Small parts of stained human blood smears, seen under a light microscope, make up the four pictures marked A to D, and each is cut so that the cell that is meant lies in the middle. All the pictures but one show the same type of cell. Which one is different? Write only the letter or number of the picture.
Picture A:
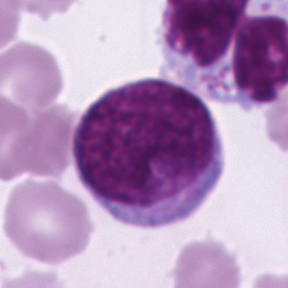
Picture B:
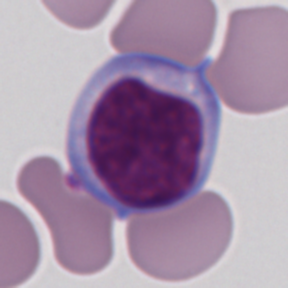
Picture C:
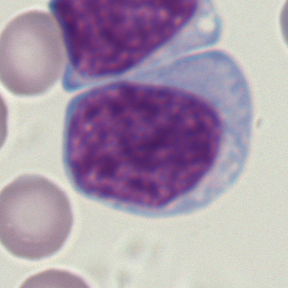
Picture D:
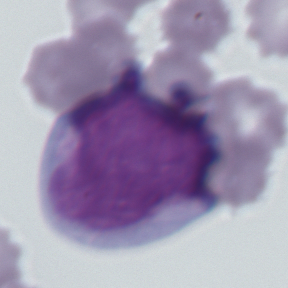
B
